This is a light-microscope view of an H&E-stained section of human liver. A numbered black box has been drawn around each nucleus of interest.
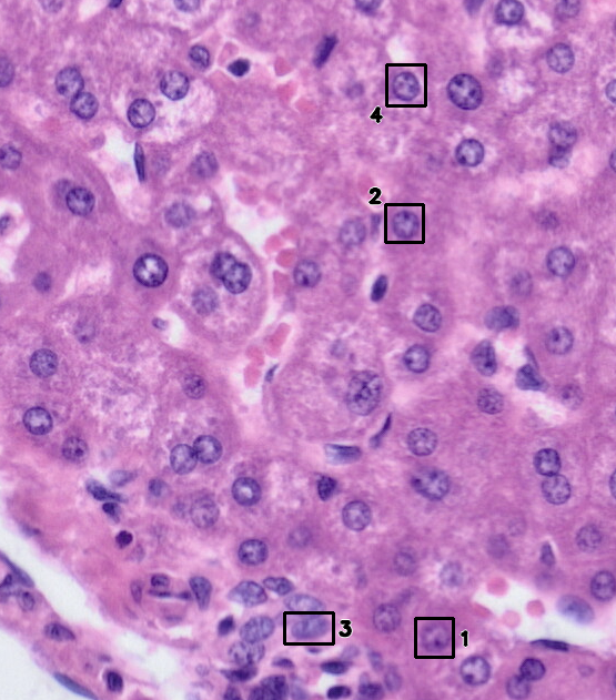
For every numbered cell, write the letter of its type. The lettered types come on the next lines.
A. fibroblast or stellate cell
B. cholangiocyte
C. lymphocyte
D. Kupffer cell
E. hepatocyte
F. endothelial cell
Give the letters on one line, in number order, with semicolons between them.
E; E; B; E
